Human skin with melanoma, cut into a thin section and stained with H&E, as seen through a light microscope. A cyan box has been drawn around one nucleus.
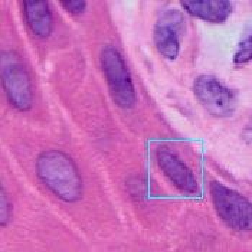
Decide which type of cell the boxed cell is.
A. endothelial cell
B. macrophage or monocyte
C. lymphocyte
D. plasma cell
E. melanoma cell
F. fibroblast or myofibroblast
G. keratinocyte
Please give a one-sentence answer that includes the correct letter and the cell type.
Best answer: option G, with the boxed cell being a keratinocyte.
